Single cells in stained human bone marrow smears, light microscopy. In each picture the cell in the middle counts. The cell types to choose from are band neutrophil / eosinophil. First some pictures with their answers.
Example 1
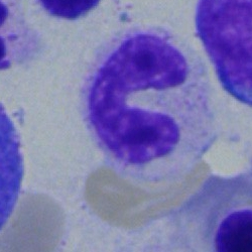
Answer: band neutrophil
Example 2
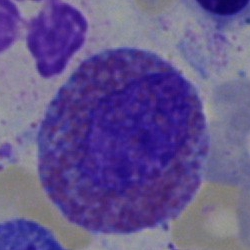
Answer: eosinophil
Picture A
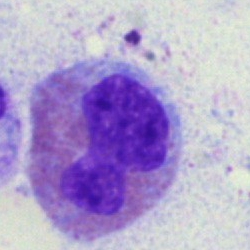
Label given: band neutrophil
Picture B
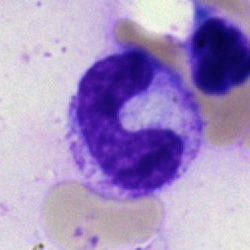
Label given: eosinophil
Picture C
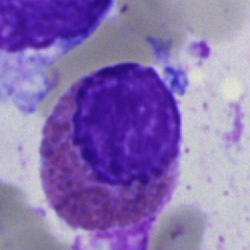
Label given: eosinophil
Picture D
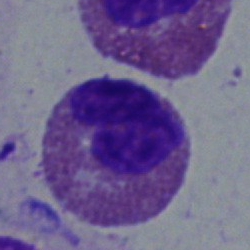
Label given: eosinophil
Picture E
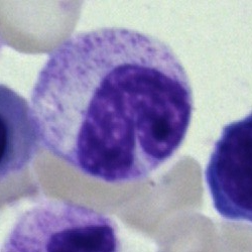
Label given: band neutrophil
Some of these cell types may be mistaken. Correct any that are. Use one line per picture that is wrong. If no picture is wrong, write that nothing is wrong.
A should be eosinophil, not band neutrophil
B should be band neutrophil, not eosinophil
